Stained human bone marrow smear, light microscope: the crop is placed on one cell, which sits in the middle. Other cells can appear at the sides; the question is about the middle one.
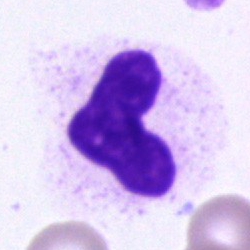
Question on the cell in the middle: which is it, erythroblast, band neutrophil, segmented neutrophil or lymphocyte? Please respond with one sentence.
The cell featured at the centre of this crop is a band neutrophil.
